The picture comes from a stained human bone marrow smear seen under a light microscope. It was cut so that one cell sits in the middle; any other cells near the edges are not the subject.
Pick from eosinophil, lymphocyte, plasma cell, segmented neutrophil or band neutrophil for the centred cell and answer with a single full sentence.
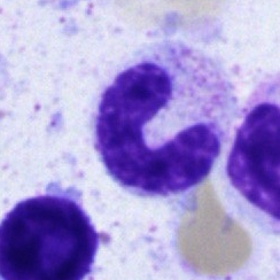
Of the cells in this crop, the central one is a band neutrophil.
